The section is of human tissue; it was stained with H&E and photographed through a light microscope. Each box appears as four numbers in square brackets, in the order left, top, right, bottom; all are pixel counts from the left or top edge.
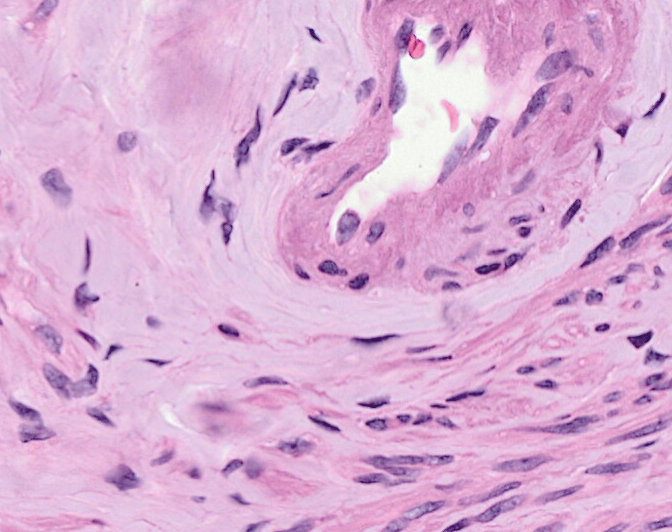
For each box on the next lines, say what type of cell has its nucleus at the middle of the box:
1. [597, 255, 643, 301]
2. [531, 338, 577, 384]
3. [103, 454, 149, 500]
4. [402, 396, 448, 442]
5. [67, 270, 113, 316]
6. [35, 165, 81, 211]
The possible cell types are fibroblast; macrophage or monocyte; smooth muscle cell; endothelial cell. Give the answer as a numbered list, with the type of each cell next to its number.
1. smooth muscle cell
2. smooth muscle cell
3. fibroblast
4. smooth muscle cell
5. fibroblast
6. fibroblast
